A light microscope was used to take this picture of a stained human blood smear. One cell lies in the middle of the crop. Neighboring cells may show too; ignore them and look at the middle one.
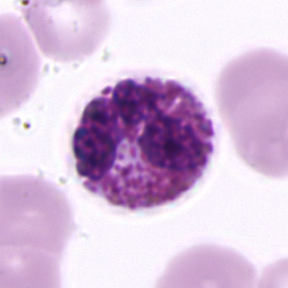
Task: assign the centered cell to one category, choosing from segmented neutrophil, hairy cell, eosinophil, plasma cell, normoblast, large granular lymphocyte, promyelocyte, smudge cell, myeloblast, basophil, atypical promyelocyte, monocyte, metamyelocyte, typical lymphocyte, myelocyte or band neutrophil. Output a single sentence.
On this slide crop, the central cell is an eosinophil.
